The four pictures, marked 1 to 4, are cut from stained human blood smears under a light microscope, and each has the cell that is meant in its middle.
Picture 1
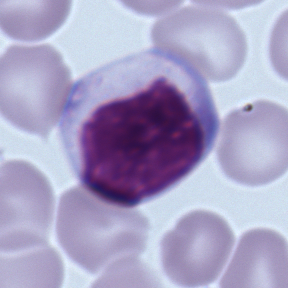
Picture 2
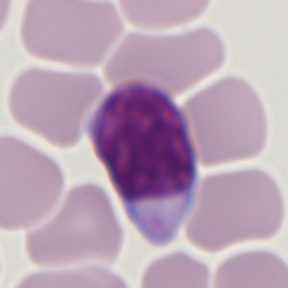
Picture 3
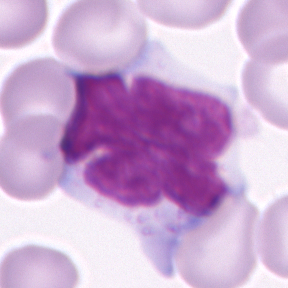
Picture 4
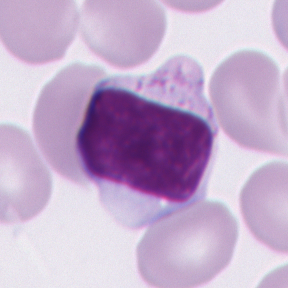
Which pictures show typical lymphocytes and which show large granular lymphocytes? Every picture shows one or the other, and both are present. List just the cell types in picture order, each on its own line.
large granular lymphocyte
typical lymphocyte
large granular lymphocyte
large granular lymphocyte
